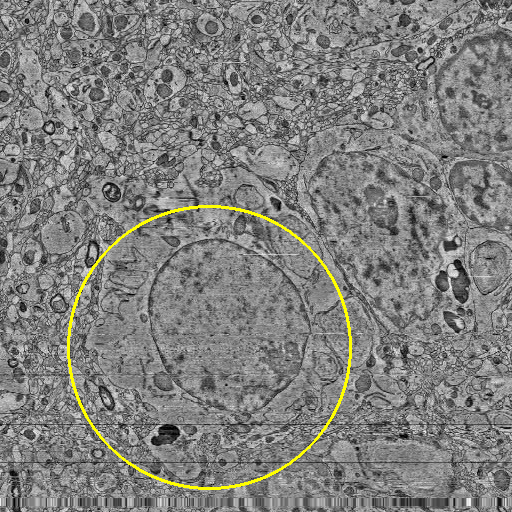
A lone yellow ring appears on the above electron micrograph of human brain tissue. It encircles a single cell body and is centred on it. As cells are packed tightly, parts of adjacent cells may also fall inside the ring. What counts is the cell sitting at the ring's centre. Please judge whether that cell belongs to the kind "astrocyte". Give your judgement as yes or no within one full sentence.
Yes, the cell lying at the centre of the ring in the picture belongs to this kind.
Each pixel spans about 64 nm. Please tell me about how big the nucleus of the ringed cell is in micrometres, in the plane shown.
Approximately 12 x 10 micrometres in this plane.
